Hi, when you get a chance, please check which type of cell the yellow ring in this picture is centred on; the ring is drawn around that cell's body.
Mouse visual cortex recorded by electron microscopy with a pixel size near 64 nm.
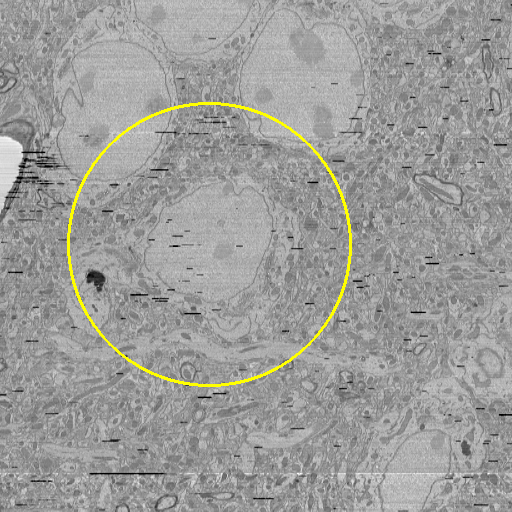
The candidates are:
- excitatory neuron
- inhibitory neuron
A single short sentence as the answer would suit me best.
The ring is drawn around the body of an excitatory neuron.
